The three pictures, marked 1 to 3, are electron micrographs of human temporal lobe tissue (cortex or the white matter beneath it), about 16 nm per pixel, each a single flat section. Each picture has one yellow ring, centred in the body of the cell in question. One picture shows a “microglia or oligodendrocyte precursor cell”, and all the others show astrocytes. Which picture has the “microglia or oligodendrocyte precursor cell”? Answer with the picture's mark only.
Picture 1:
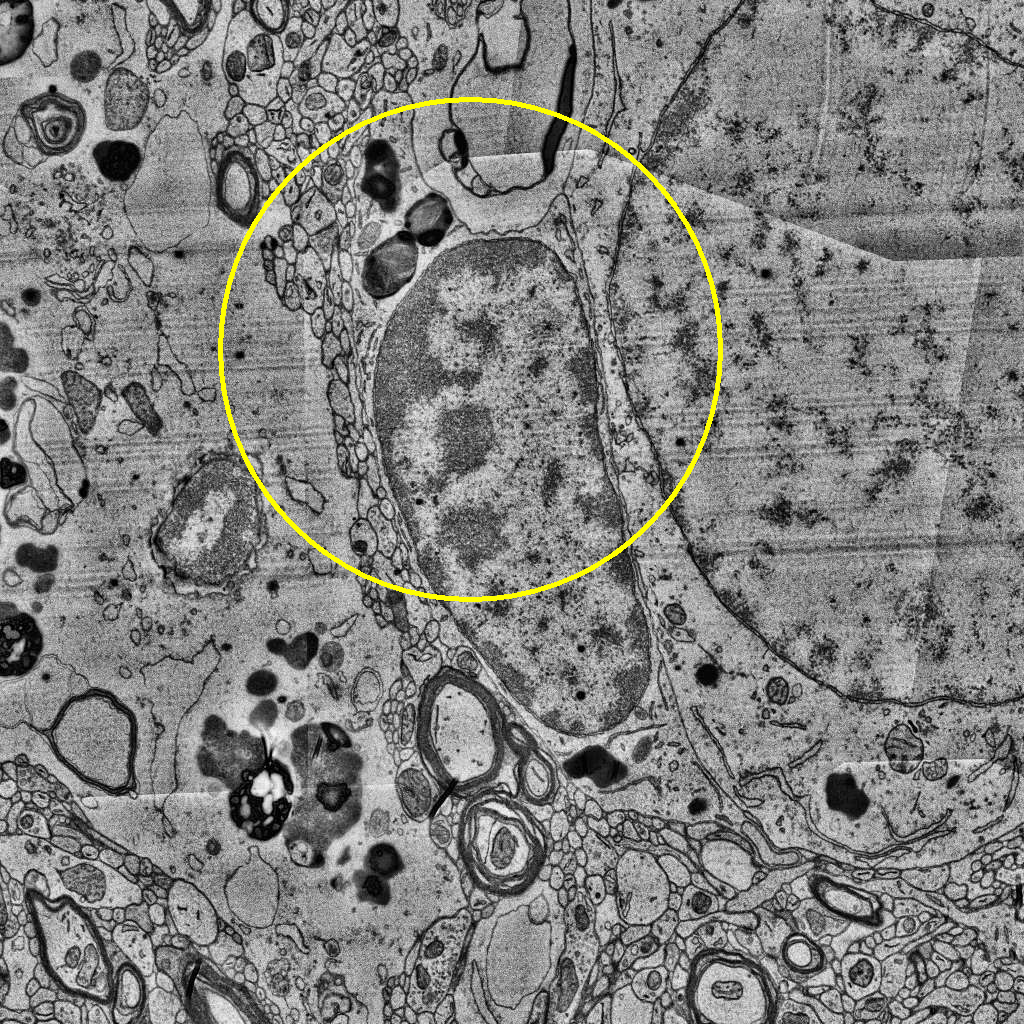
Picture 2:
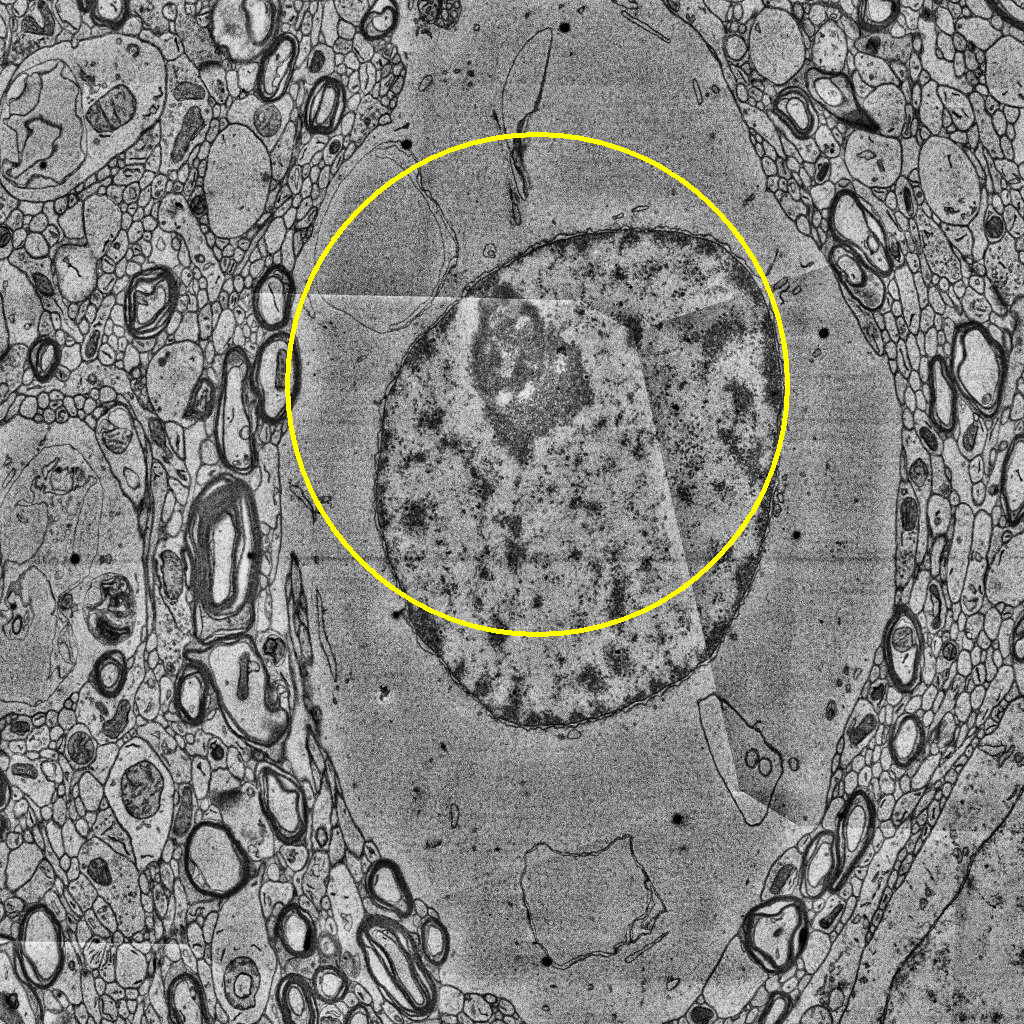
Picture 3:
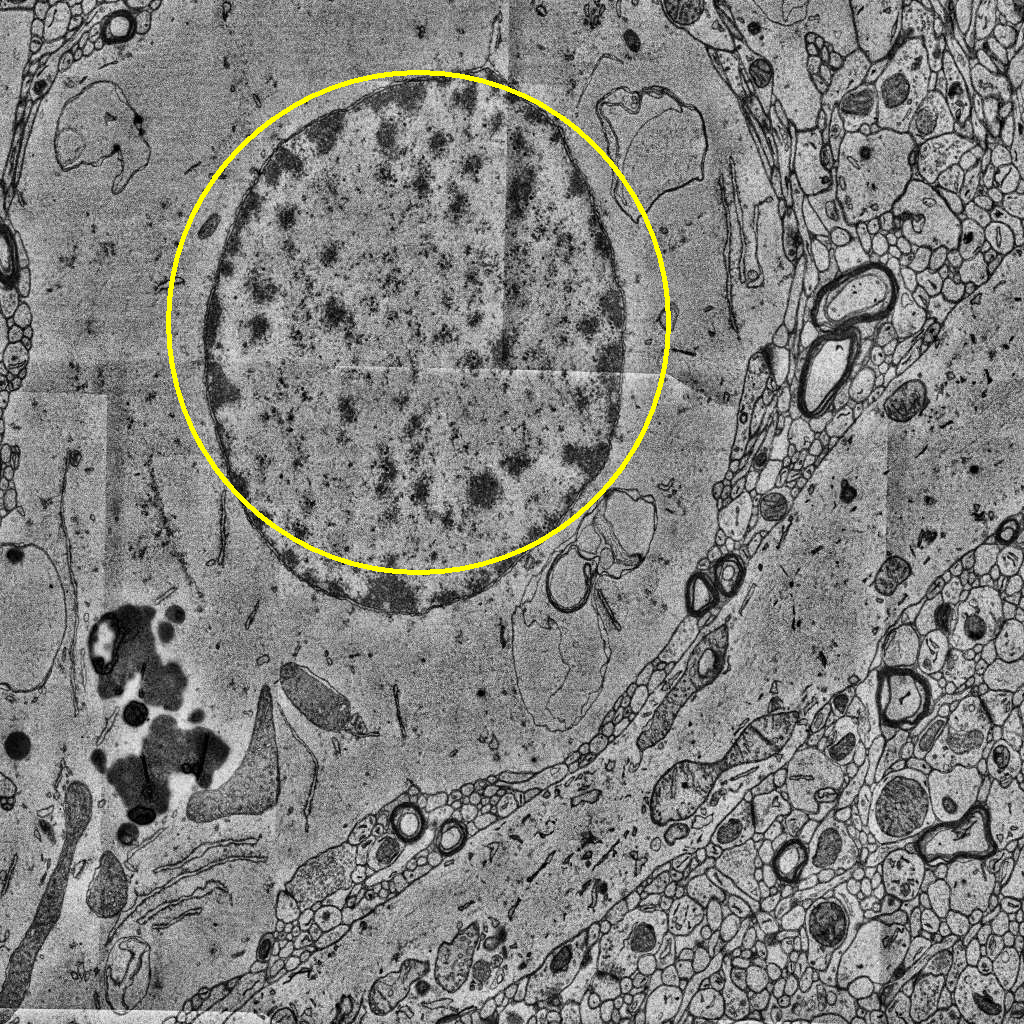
1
